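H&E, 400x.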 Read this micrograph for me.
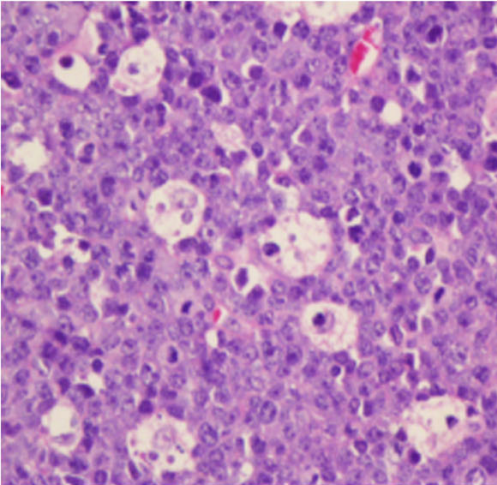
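This is a diffuse sheet of uniform, medium-sized tumour cells, interrupted by scattered large pale cells that give a starry sky pattern. The tumour cells are closely packed, with round nuclei, finely dispersed chromatin and several small nucleoli, and a thin rim of purple cytoplasm. Many dark, shrunken nuclei are seen among them. The large pale cells have abundant clear to foamy cytoplasm. Several of these pale cells hold dark fragments of nuclear debris. No normal tissue architecture remains in the field.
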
